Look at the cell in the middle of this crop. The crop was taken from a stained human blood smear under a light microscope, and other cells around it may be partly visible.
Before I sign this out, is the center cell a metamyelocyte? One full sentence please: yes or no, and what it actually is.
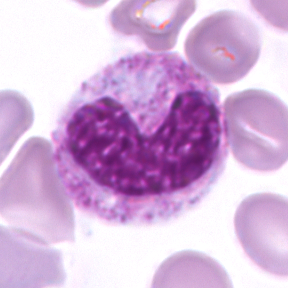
No, the central cell is a band neutrophil, not a metamyelocyte.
